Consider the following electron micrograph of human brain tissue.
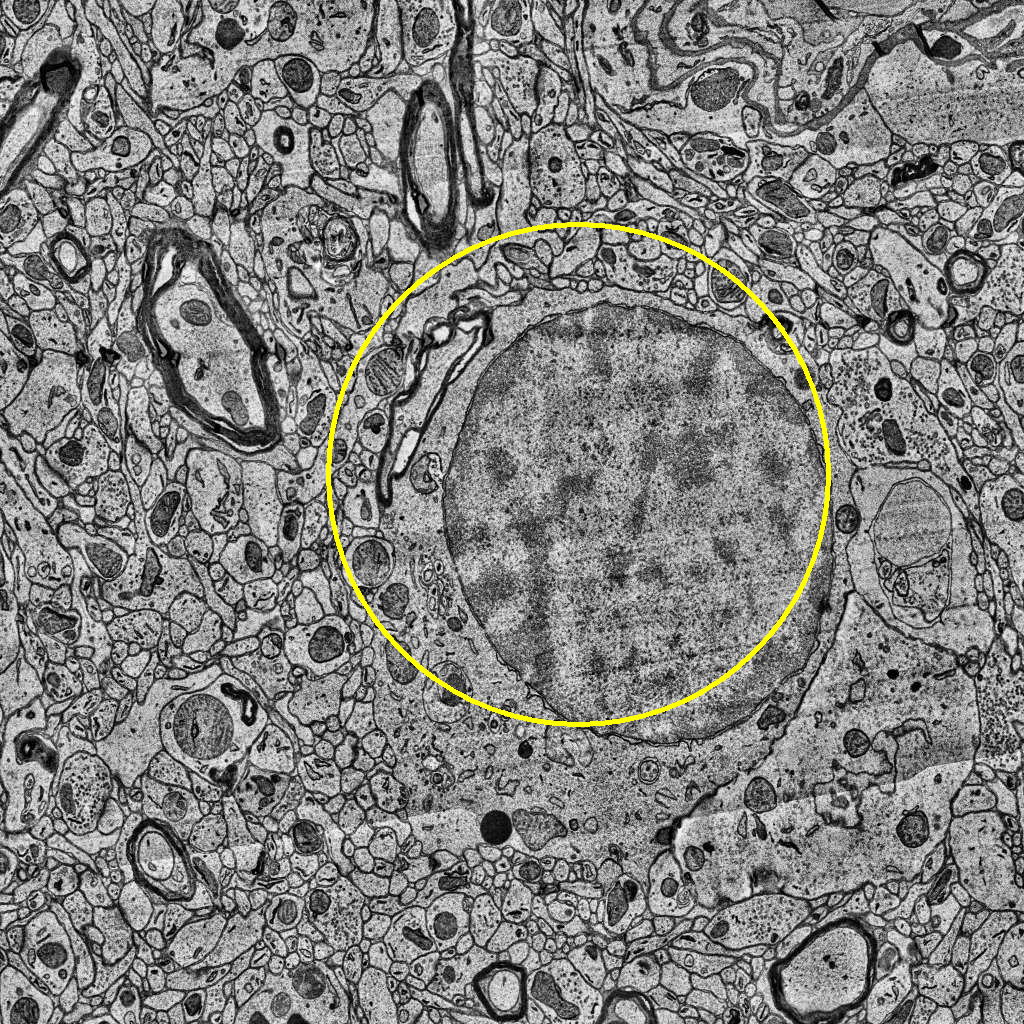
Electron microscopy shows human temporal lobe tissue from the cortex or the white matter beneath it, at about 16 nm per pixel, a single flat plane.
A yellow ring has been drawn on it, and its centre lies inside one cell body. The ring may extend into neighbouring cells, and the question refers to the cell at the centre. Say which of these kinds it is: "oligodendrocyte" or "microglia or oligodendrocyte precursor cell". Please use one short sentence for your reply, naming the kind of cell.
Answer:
The centre of the ring falls on an oligodendrocyte.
